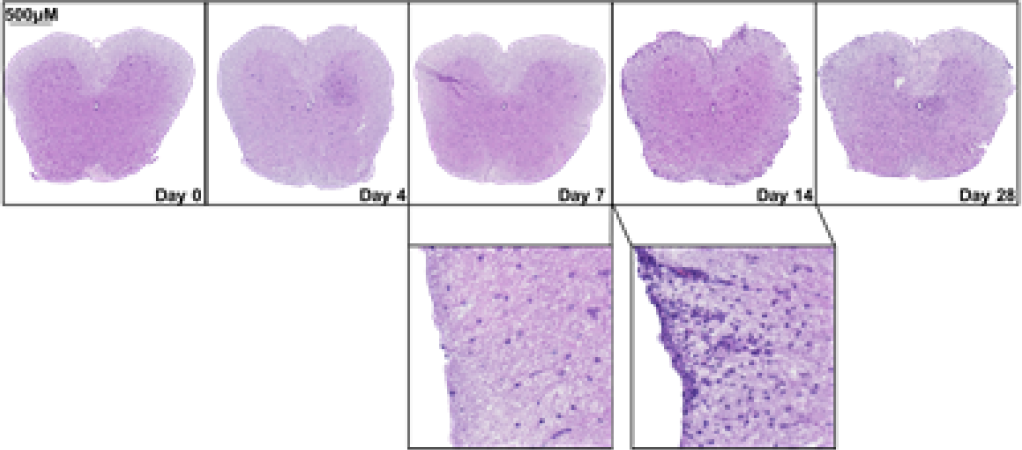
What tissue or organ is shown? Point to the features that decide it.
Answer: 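Spinal cords. Transverse sections show a central butterfly-shaped grey matter surrounded by paler white matter. A small central canal lies in the midline with a ventral median fissure and dorsal septum.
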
